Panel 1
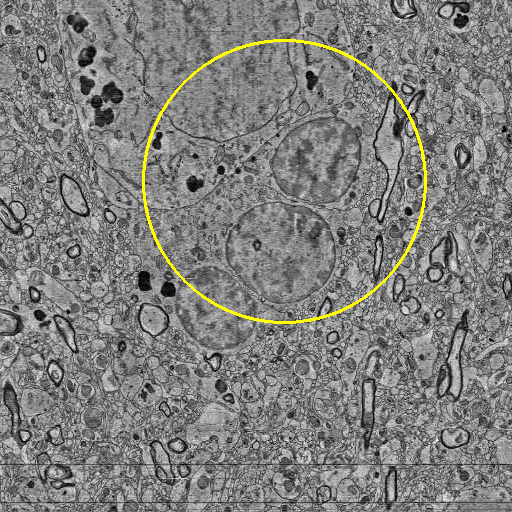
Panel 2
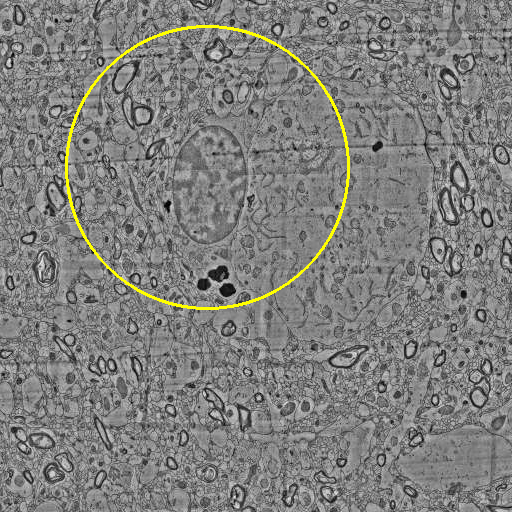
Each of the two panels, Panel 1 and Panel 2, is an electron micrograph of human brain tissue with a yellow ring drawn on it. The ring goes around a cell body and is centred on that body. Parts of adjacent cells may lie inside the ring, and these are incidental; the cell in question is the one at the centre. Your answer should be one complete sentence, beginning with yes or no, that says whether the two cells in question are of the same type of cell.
Yes, the two cells are of the same type.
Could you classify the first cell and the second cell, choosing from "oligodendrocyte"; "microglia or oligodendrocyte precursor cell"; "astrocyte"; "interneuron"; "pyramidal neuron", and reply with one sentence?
The cell in the first picture is an oligodendrocyte, and so is the one in the second.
